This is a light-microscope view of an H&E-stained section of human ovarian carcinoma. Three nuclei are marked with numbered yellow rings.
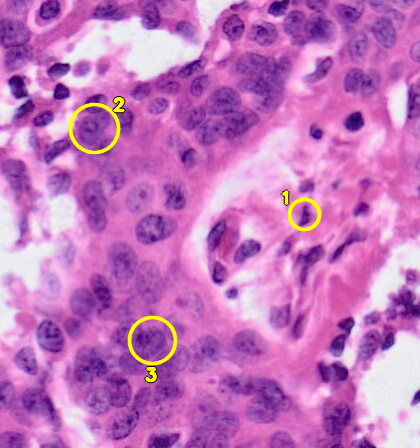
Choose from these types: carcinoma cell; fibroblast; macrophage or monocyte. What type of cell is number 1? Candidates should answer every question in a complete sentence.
The cell that goes by number 1 is a fibroblast.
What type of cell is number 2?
Identified by the number 2, the cell is a carcinoma cell.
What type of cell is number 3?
Belonging to a carcinoma cell is the nucleus that carries the number 3.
